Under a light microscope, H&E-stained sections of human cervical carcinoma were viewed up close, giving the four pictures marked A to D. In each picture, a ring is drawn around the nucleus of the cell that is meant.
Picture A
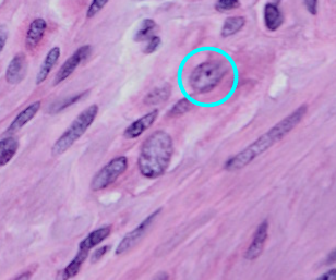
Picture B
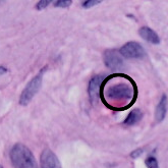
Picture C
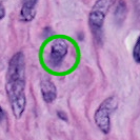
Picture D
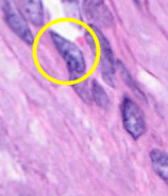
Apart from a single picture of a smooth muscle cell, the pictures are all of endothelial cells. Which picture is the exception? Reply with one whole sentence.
It is picture C that shows the smooth muscle cell.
